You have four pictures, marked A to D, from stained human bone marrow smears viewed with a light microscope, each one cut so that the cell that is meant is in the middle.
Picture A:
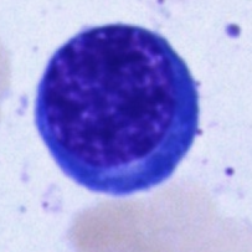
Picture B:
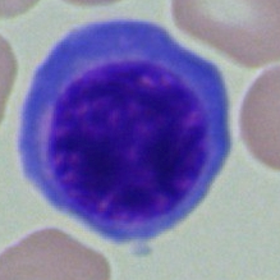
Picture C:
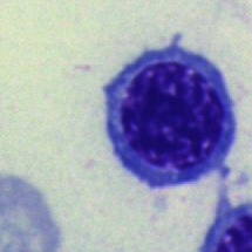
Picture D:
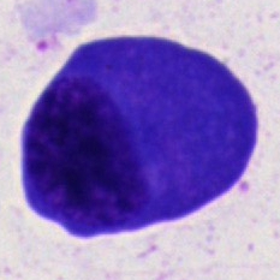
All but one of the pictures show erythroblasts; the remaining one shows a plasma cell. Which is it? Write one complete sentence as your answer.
Picture D is the one that shows the plasma cell.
